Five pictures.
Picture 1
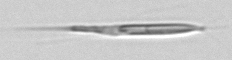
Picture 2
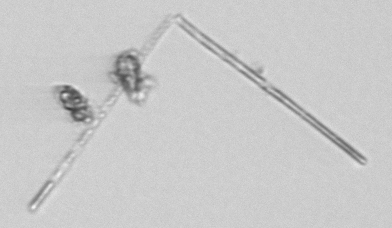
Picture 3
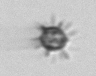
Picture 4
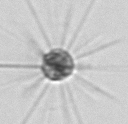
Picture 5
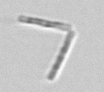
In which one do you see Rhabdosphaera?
In picture 3.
